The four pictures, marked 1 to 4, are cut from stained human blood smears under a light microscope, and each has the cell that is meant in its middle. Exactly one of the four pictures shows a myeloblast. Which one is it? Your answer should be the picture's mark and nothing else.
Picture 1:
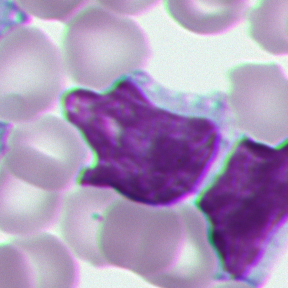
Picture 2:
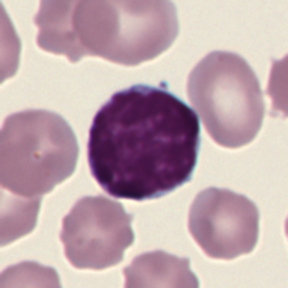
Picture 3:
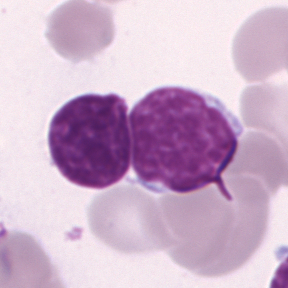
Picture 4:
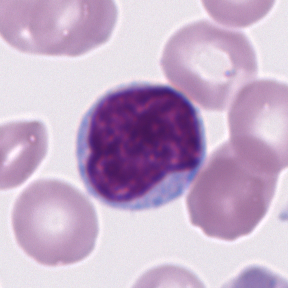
3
